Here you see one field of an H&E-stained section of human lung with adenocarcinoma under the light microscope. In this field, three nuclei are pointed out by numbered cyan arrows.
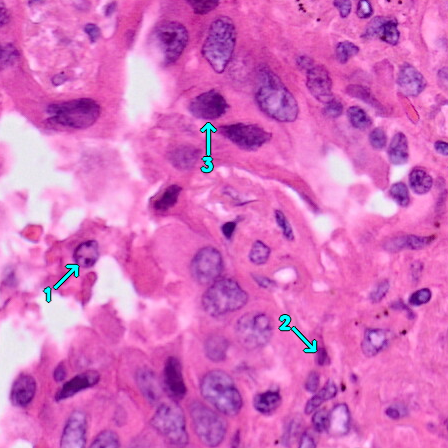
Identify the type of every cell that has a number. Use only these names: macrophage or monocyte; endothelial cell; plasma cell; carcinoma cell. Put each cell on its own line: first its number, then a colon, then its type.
1: macrophage or monocyte
2: plasma cell
3: carcinoma cell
